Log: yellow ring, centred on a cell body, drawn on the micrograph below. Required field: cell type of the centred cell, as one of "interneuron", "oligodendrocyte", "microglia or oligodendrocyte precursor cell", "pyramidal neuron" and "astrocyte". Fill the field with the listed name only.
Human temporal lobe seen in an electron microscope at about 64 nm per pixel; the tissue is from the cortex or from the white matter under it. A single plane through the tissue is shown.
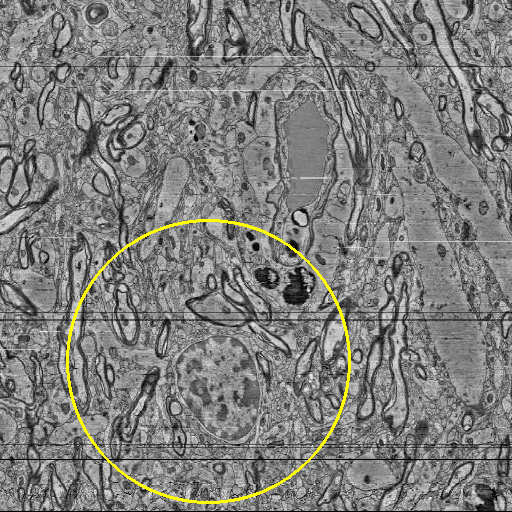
microglia or oligodendrocyte precursor cell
